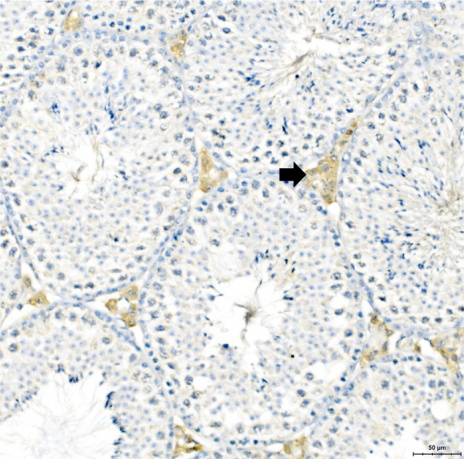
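Small clusters of interstitial Leydig cells fill the triangular spaces between tubules and carry light brown cytoplasmic stain. The nuclei are blue.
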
